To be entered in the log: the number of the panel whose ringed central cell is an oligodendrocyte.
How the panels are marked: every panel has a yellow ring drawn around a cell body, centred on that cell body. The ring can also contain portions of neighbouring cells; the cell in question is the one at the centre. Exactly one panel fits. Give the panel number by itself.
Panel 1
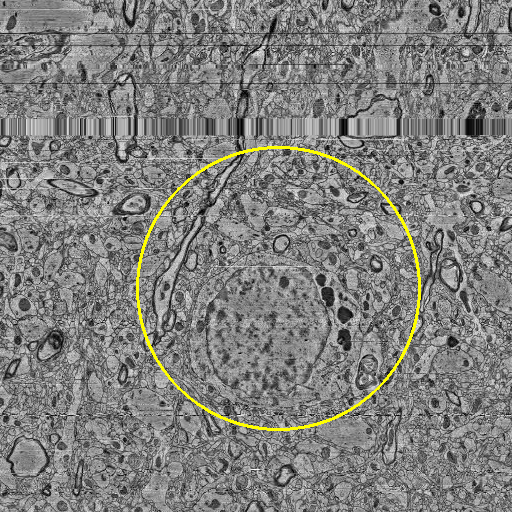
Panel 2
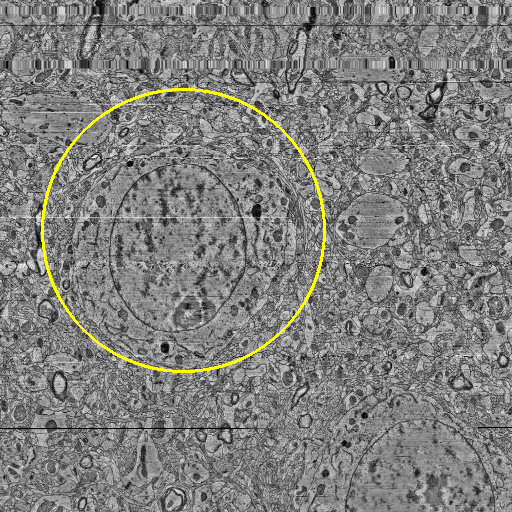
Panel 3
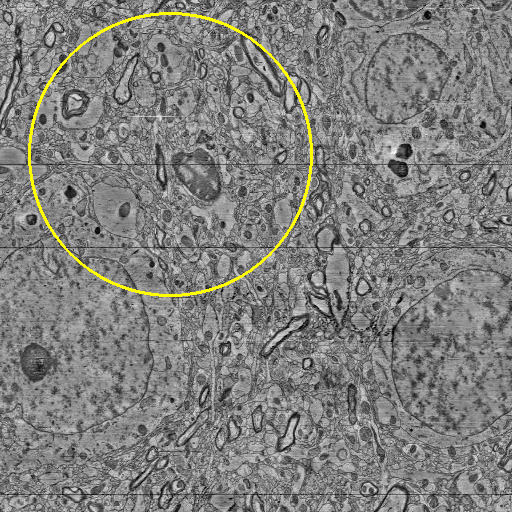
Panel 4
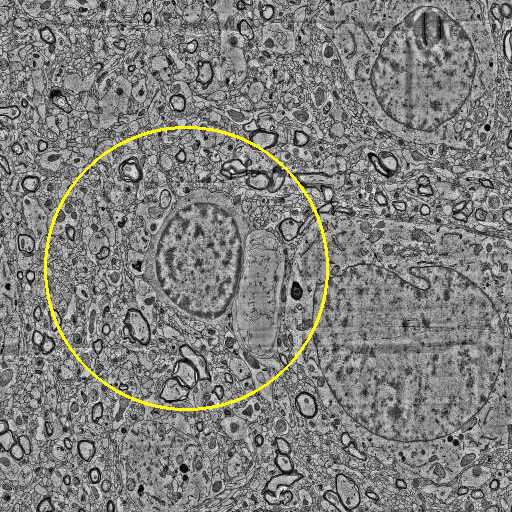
4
